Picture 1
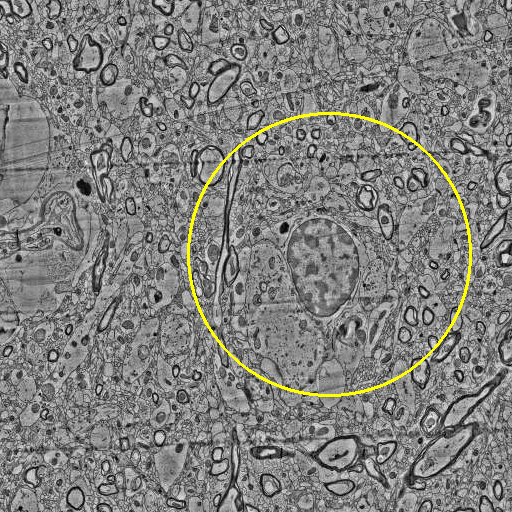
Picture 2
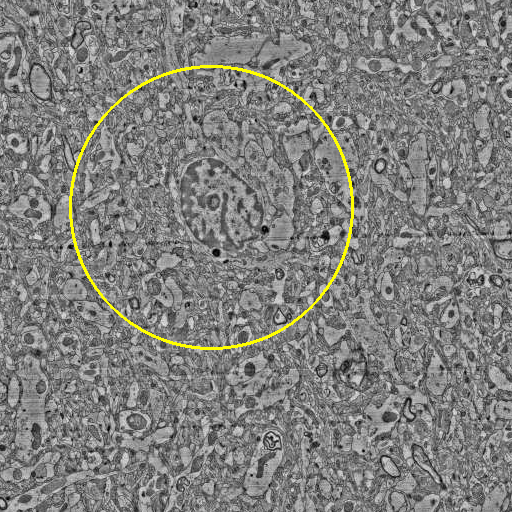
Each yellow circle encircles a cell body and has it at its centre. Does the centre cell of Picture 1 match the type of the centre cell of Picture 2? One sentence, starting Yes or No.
Yes, the cell centred in Picture 1 and the one in Picture 2 share a type.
